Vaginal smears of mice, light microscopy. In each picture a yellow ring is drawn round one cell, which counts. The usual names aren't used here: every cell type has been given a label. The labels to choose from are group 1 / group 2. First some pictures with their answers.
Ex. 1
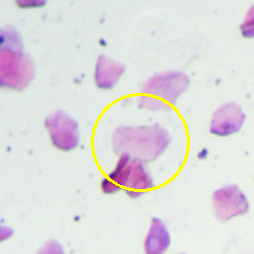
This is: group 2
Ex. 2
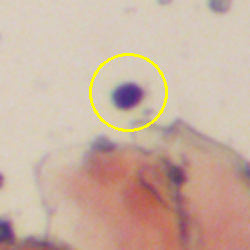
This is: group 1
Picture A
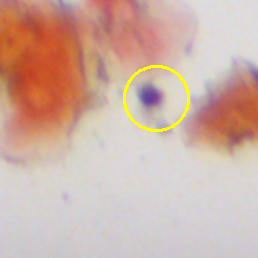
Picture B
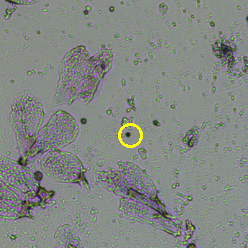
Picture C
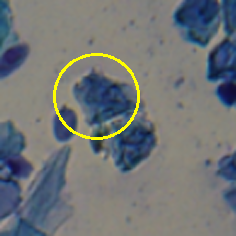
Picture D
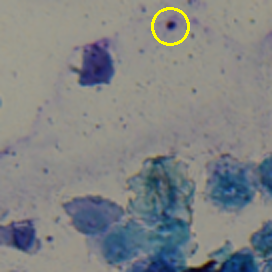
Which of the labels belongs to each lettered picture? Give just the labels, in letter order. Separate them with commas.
group 1, group 1, group 2, group 1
